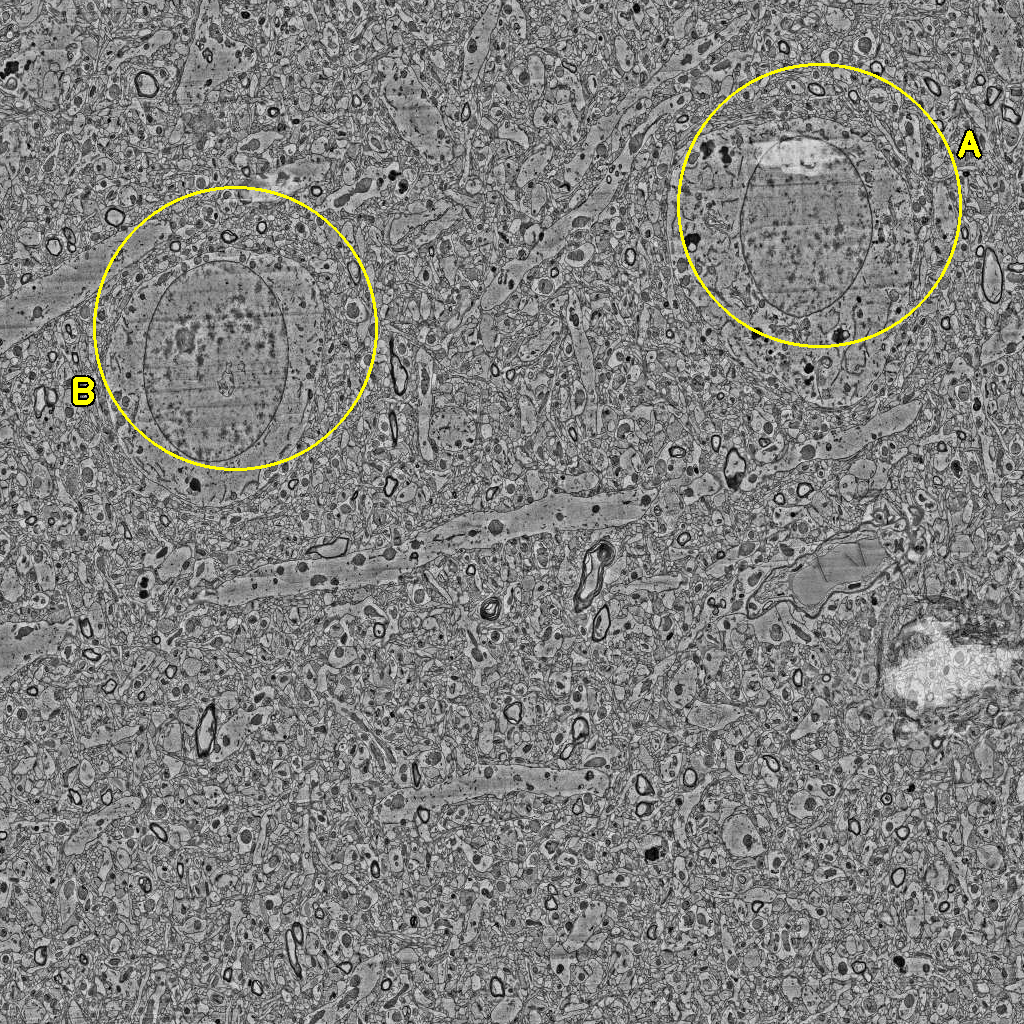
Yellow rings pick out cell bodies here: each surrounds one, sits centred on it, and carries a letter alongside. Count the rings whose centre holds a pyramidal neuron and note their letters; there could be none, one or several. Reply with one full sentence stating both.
Sitting at the centre of each of two rings is a pyramidal neuron, and those rings bear the letters A and B.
